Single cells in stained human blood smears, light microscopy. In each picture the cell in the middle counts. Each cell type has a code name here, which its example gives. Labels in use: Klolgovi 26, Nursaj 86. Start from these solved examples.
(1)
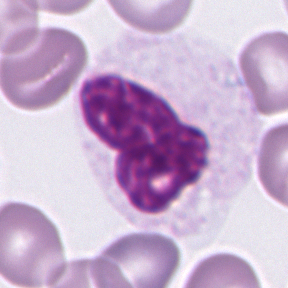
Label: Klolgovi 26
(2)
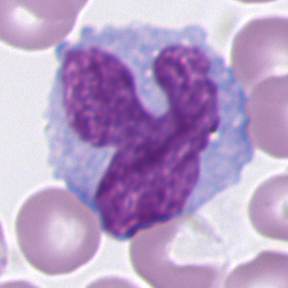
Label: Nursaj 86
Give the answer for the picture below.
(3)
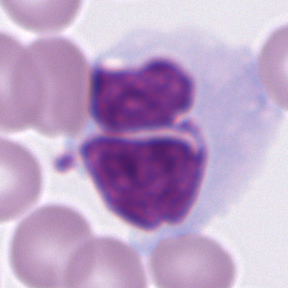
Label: Nursaj 86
